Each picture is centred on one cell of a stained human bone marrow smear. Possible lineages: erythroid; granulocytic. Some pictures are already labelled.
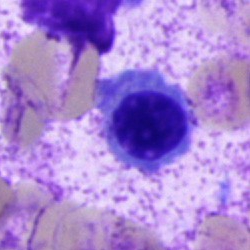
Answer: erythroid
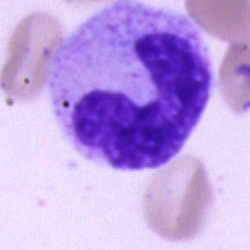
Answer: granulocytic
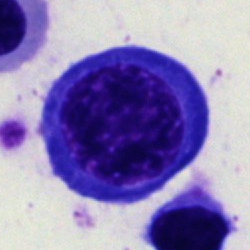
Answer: erythroid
